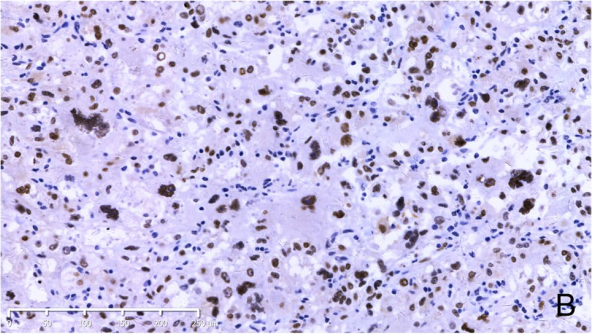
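Tumor cells with strongly brown-stained nuclei lie scattered in a loose, pale background. The nuclei vary greatly in size and shape, and several giant cells carry large, clumped, multilobed or multiple nuclei stained dark brown. The cytoplasm of the tumor cells is pale to clear and unstained, and small blue nuclei of stromal cells lie between them.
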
